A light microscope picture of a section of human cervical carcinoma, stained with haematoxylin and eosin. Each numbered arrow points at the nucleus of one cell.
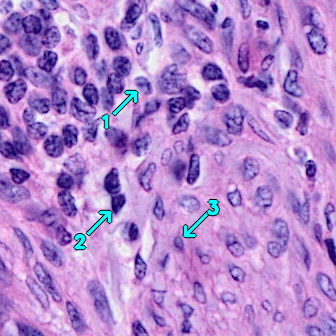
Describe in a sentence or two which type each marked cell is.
Cell 1 is a lymphocyte, cell 2 is a lymphocyte and cell 3 is a smooth muscle cell.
